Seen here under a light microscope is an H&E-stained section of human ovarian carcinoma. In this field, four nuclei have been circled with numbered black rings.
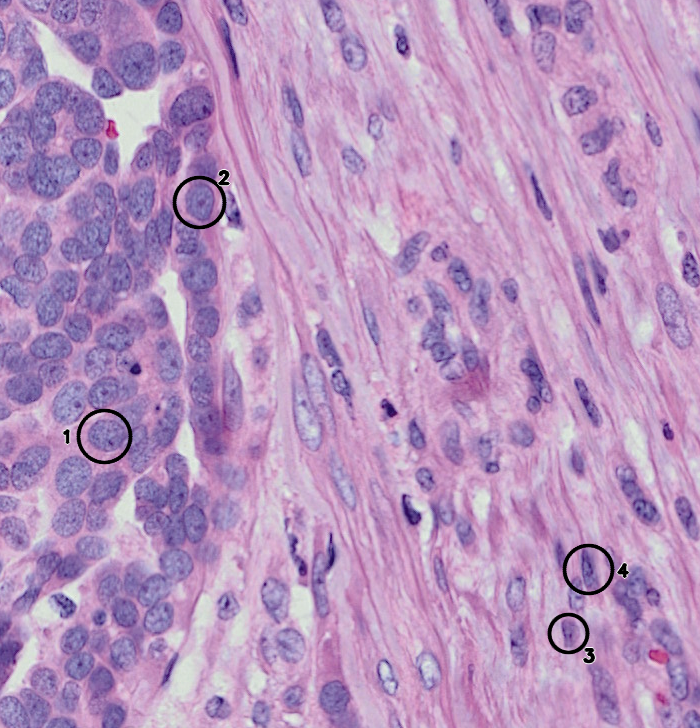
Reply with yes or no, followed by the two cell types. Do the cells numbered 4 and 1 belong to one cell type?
No, sorry, cell 4 is a fibroblast and cell 1 is a carcinoma cell.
